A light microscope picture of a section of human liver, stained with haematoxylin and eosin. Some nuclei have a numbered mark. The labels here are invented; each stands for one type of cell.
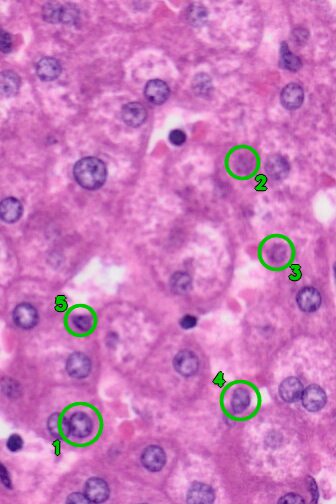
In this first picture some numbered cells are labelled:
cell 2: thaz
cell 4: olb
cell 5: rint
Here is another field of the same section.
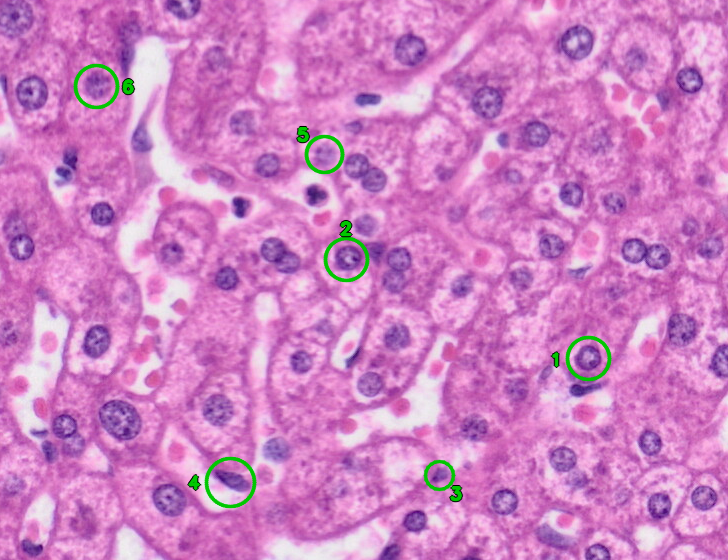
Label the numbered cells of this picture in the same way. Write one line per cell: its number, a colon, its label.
1: thaz
2: thaz
3: rint
4: olb
5: thaz
6: thaz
